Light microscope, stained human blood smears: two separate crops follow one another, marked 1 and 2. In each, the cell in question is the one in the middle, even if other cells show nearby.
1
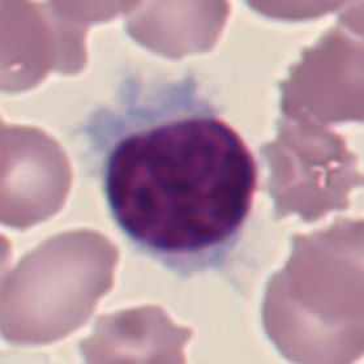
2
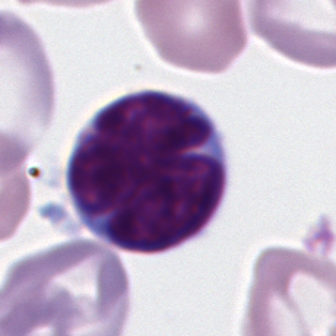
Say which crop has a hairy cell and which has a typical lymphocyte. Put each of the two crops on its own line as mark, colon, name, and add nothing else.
1: hairy cell
2: typical lymphocyte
